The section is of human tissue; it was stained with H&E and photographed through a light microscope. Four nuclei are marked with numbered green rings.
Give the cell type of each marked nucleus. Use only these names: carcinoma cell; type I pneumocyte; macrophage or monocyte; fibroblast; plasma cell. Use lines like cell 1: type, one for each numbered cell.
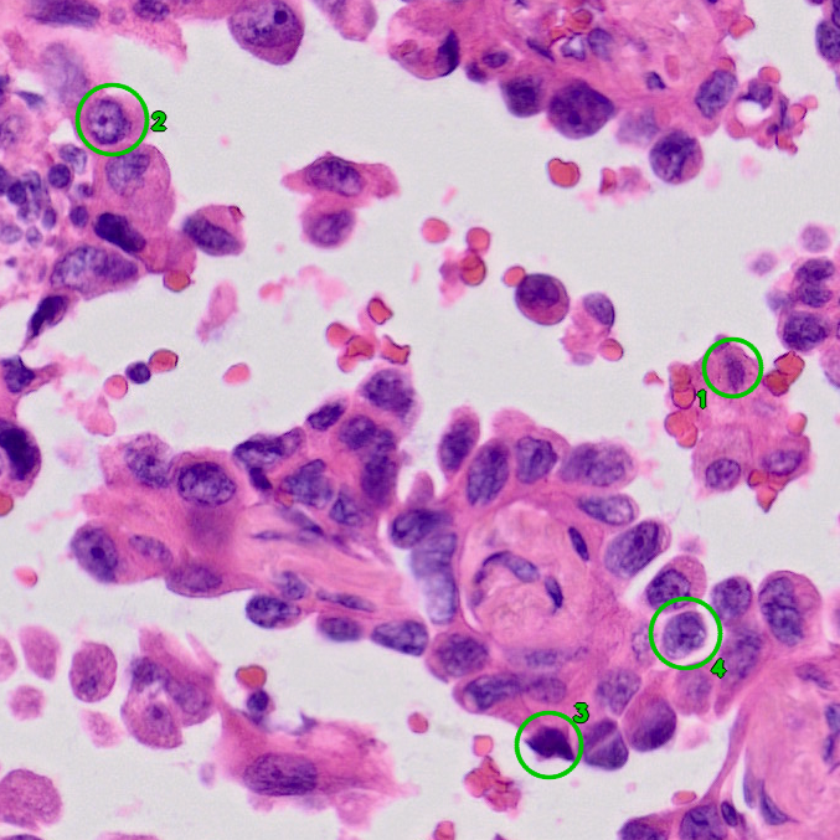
cell 1: macrophage or monocyte
cell 2: carcinoma cell
cell 3: carcinoma cell
cell 4: carcinoma cell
